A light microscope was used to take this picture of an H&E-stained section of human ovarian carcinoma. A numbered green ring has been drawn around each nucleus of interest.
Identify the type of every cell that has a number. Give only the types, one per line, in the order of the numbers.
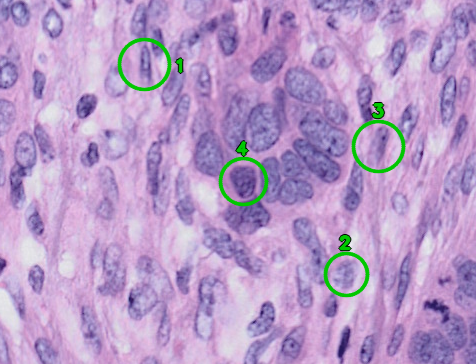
fibroblast
fibroblast
fibroblast
carcinoma cell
